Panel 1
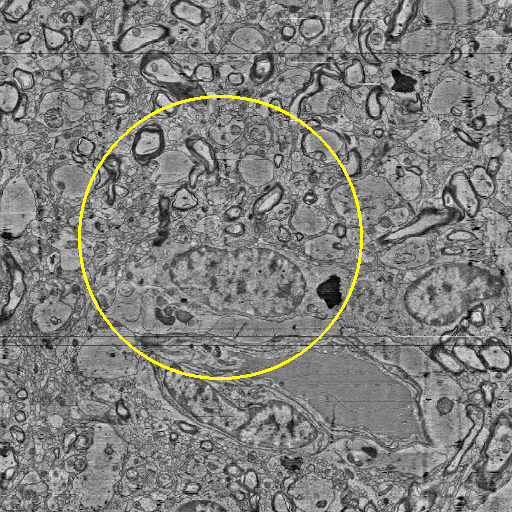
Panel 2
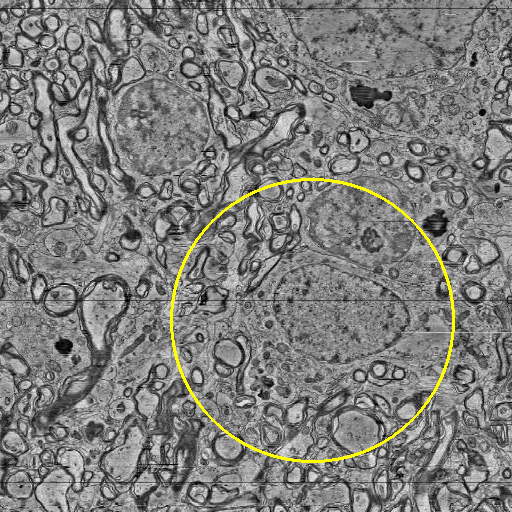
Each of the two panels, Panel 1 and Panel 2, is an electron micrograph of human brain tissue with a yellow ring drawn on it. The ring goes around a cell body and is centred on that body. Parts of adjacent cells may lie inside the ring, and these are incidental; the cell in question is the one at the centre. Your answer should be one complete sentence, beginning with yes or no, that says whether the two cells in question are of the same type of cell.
No, the two cells are of two types.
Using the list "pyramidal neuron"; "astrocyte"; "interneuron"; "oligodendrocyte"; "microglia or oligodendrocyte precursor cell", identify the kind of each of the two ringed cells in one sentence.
The first is an oligodendrocyte and the second is an astrocyte.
